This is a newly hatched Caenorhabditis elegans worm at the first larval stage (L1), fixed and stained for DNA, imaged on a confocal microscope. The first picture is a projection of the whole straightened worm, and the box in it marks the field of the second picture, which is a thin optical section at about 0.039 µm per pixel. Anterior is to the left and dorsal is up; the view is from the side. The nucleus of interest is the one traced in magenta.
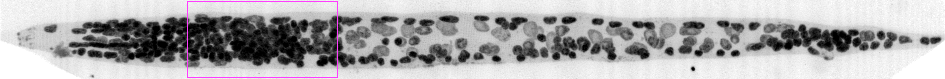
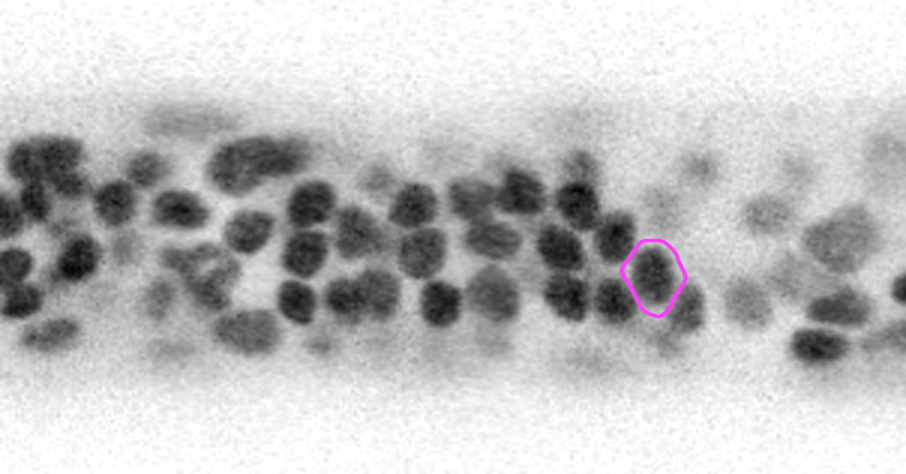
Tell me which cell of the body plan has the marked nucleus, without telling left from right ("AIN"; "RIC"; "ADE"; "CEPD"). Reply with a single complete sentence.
The cell whose nucleus is marked is ADE, a neuron.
